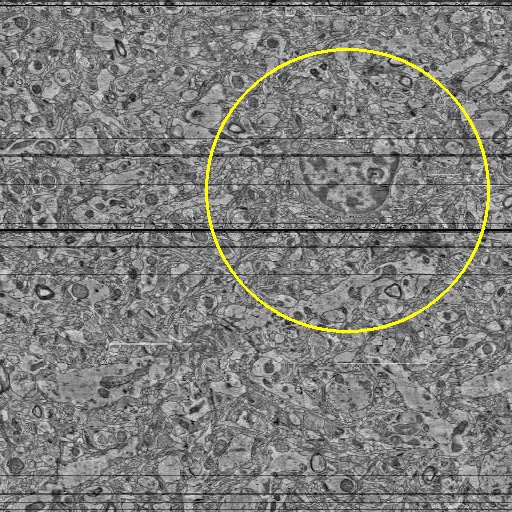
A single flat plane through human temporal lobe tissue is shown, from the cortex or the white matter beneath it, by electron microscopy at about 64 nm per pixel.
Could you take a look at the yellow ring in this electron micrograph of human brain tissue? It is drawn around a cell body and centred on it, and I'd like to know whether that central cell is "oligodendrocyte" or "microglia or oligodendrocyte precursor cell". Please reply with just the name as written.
oligodendrocyte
